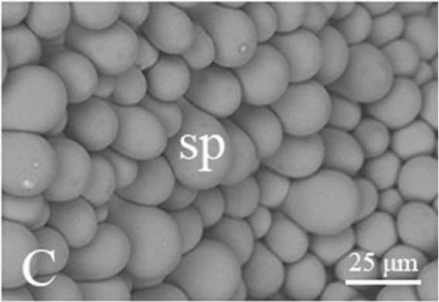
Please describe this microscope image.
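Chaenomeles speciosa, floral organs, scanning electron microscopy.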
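The surface of the stigma is covered by closely packed mastoid cells, rounded dome-shaped papillae of varying size. Their surfaces are smooth and they crowd against one another with little space between.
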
